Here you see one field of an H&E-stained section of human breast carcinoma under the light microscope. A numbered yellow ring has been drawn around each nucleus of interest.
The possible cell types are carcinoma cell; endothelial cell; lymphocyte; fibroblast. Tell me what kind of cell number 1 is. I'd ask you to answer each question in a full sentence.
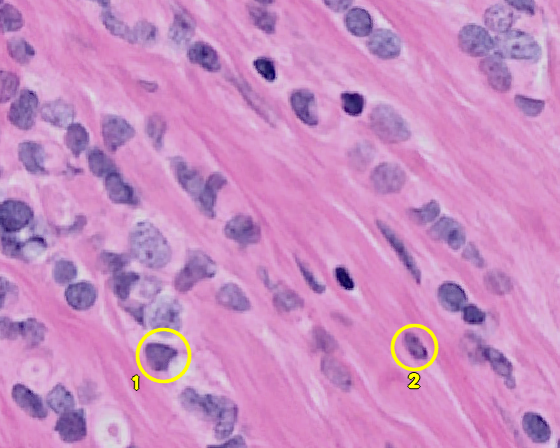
The cell identified by the number 1 is a carcinoma cell.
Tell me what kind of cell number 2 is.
The cell to which the number 2 is assigned is a lymphocyte.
